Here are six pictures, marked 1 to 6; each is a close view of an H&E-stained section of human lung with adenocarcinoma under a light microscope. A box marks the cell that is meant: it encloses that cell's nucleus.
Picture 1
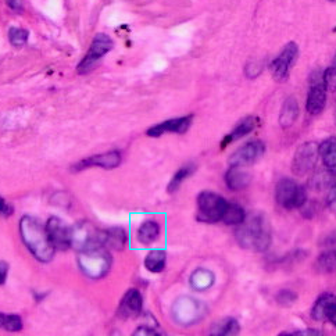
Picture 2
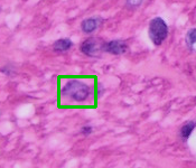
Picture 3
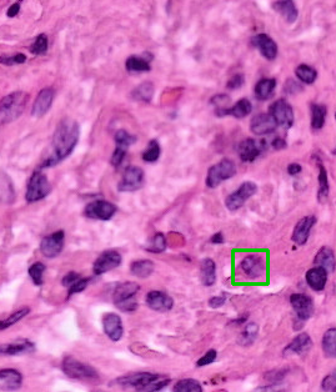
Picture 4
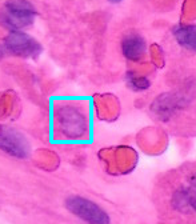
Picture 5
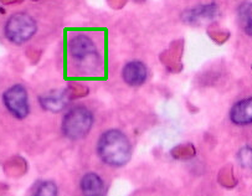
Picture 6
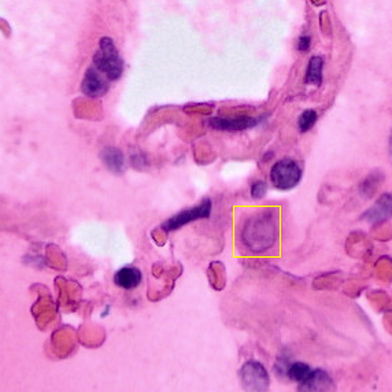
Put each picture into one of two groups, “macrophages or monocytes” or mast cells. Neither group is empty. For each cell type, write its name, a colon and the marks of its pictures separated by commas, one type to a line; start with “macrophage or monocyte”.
macrophage or monocyte: 4, 5, 6
mast cell: 1, 2, 3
